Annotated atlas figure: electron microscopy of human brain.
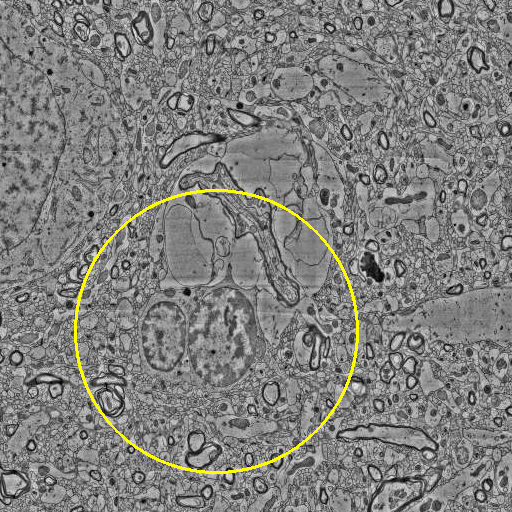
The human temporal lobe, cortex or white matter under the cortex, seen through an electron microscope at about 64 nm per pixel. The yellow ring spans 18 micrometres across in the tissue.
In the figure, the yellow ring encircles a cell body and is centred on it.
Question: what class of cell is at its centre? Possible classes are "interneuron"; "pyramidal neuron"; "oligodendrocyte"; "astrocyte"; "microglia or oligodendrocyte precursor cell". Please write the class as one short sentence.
The yellow ring is drawn around an oligodendrocyte.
